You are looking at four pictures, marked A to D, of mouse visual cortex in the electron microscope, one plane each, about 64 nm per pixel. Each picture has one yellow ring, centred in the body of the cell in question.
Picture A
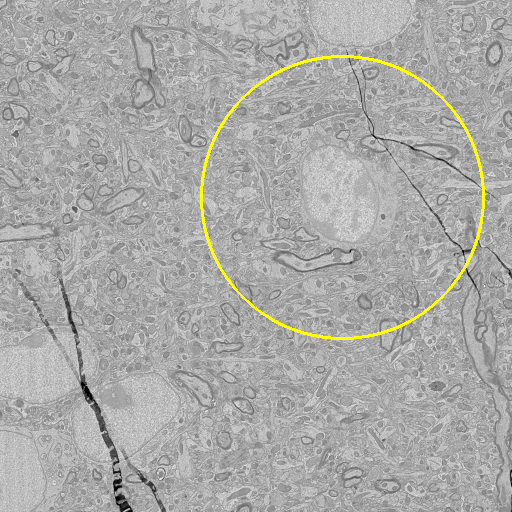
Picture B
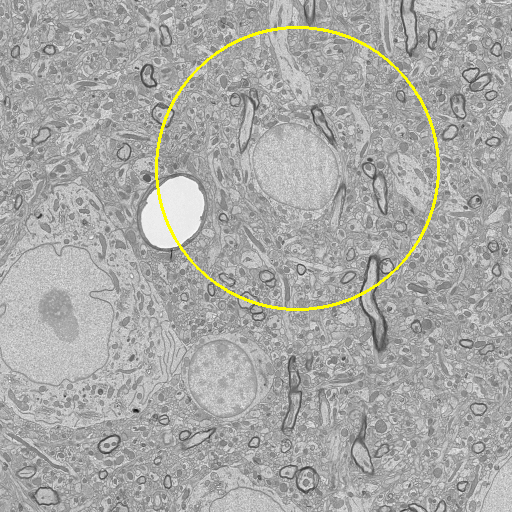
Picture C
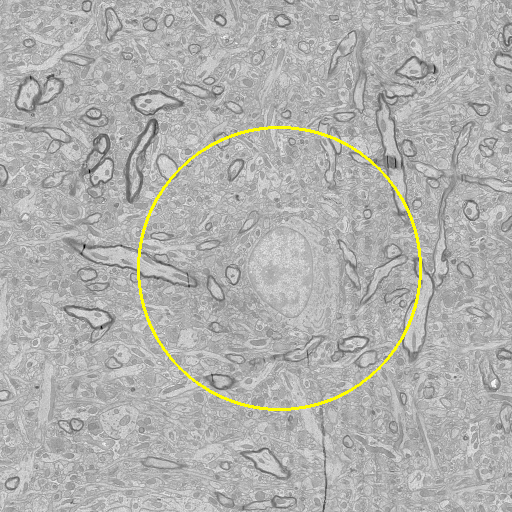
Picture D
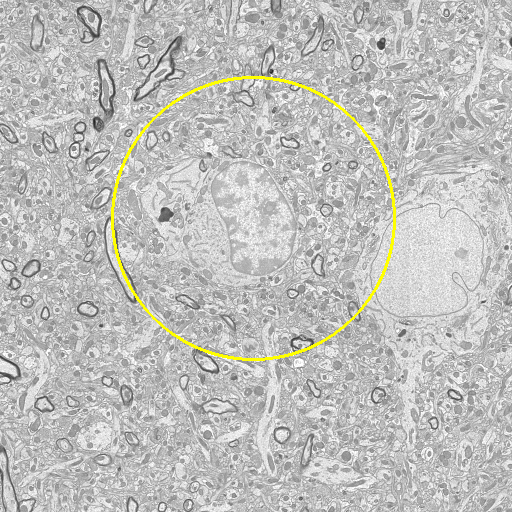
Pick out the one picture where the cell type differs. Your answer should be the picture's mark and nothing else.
B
